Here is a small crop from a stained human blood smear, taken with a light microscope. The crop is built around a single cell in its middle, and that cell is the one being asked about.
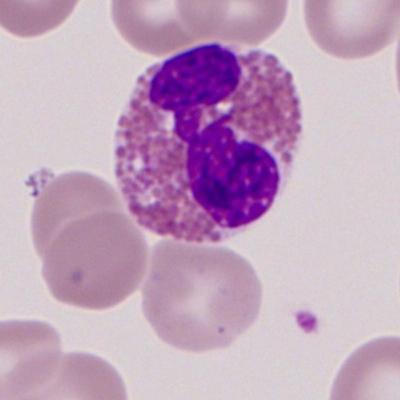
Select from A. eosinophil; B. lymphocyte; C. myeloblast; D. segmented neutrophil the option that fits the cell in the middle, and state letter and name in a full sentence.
Located in the middle of the crop is an eosinophil, and option A is therefore correct.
